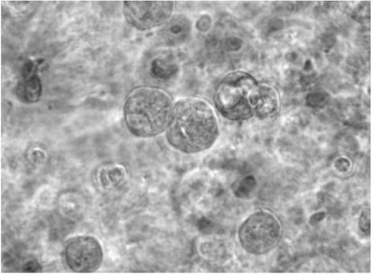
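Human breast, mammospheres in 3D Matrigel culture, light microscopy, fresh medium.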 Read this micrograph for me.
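The largest spheres have a smooth, sharply defined outer border and a granular, slightly lobulated interior in which individual cells are hard to separate. Several of the large spheres lie close together or touch one another. Smaller rounded clusters and single rounded cells are scattered between them. The background is a hazy, textured gel, and objects at other depths appear blurred and out of focus.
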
